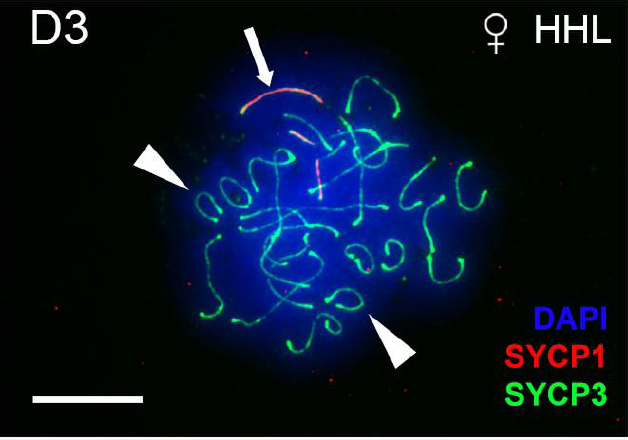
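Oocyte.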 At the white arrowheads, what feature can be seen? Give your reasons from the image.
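The arrowheads point to green-only axes with no red. Most axes in the nucleus are green only. On this evidence: univalents.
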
